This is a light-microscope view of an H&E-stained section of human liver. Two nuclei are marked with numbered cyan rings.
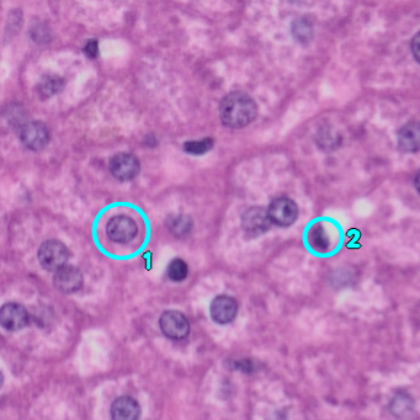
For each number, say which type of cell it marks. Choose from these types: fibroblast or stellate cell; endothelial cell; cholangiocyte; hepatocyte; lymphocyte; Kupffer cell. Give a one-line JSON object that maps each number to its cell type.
{"1": "hepatocyte", "2": "endothelial cell"}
